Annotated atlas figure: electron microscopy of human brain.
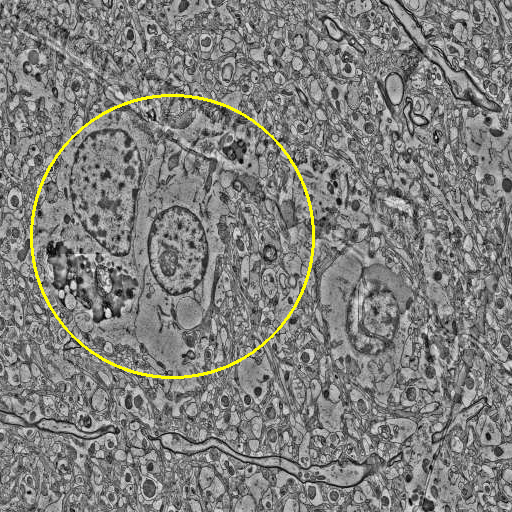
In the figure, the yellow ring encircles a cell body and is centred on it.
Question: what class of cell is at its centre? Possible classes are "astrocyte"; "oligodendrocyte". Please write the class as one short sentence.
The yellow ring is drawn around an astrocyte.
